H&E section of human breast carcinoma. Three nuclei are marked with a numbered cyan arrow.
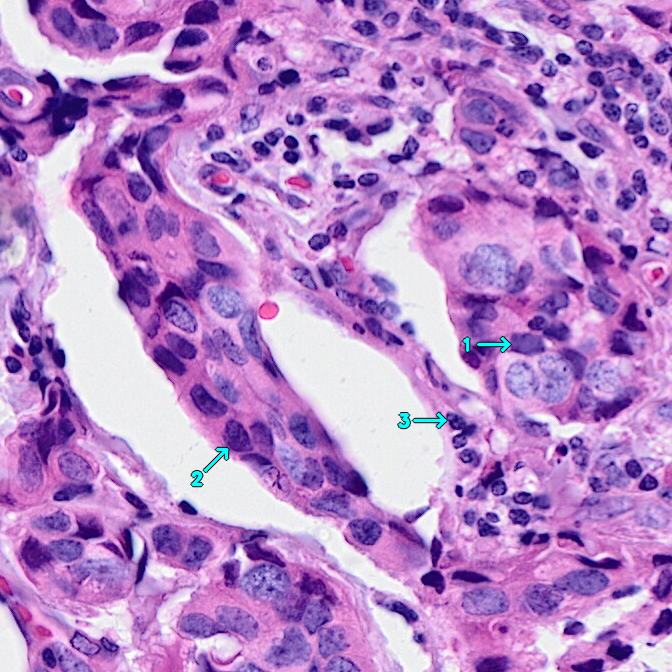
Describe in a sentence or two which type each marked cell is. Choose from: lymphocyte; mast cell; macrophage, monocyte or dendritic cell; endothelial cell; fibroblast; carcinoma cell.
Cell 1 is a carcinoma cell, cell 2 is a carcinoma cell and cell 3 is a lymphocyte.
